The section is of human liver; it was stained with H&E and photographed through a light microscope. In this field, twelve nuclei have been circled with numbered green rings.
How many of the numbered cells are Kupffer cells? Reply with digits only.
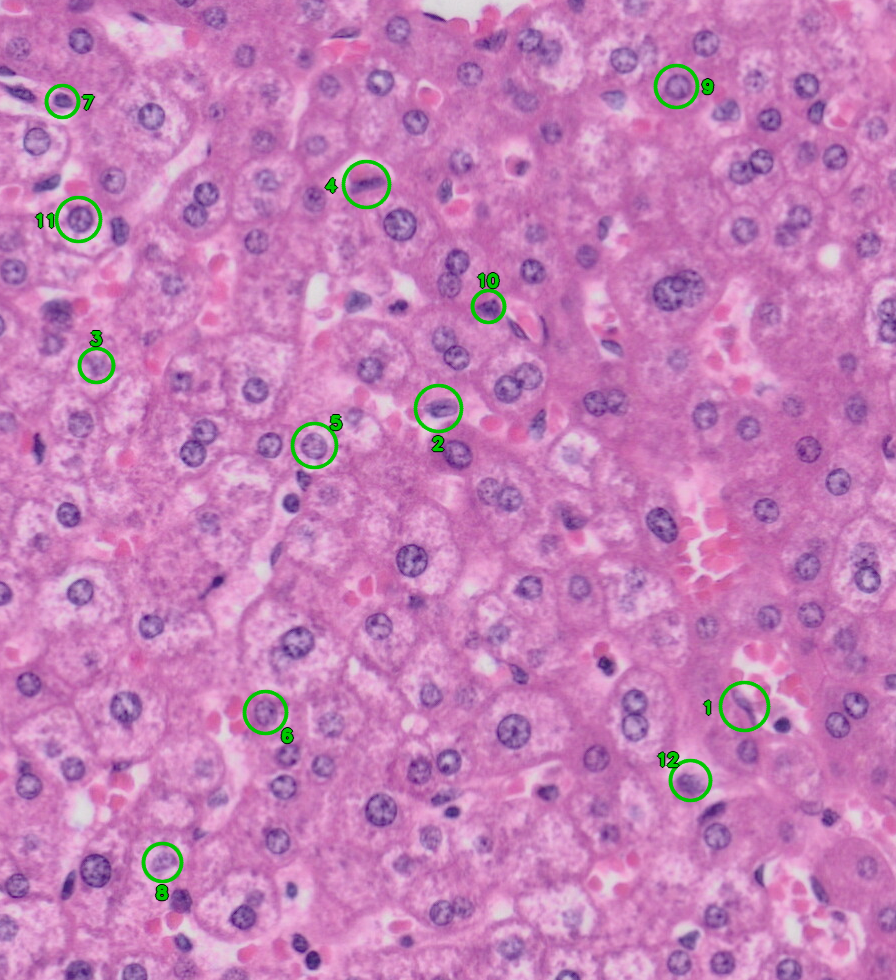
2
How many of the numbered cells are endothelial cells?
1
